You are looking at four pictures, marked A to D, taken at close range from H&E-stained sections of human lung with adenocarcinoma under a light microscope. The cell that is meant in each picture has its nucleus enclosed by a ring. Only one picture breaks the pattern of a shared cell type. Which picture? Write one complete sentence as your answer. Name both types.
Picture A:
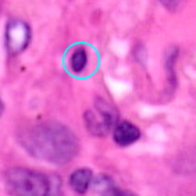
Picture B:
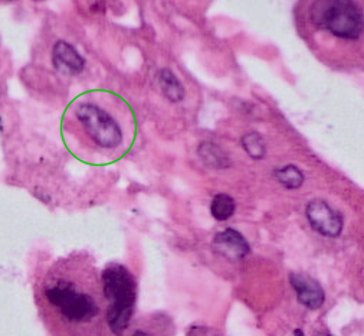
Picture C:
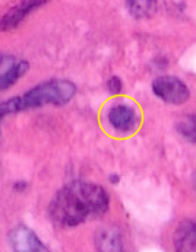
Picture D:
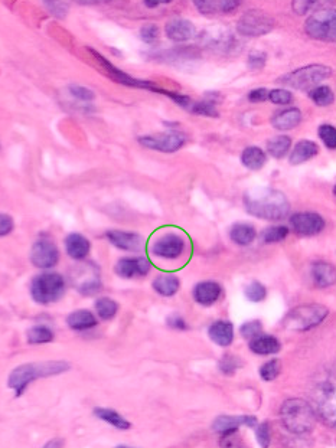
Picture B is the odd one out: it shows a “macrophage or monocyte”, while the others show lymphocytes.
